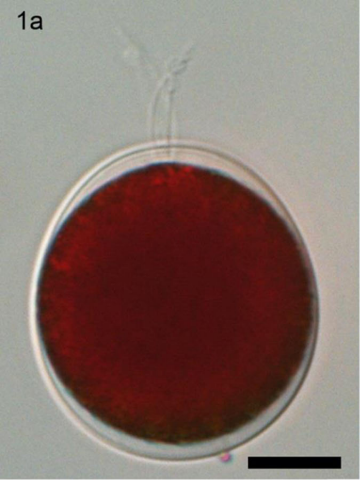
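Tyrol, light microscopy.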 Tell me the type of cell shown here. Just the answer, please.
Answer: Flagellate cell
